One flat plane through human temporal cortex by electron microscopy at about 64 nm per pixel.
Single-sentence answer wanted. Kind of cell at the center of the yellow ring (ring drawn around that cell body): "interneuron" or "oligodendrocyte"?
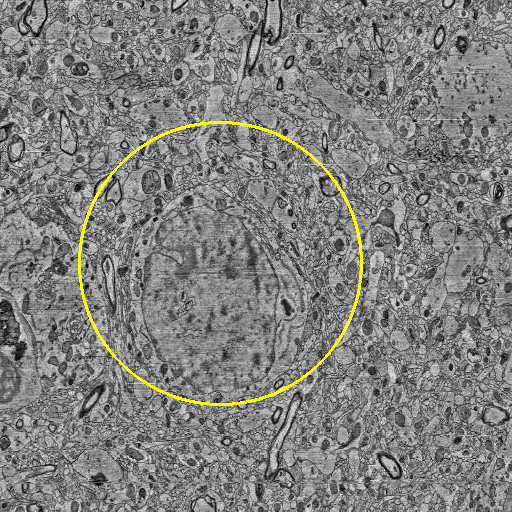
The cell centered in the ring is an interneuron.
